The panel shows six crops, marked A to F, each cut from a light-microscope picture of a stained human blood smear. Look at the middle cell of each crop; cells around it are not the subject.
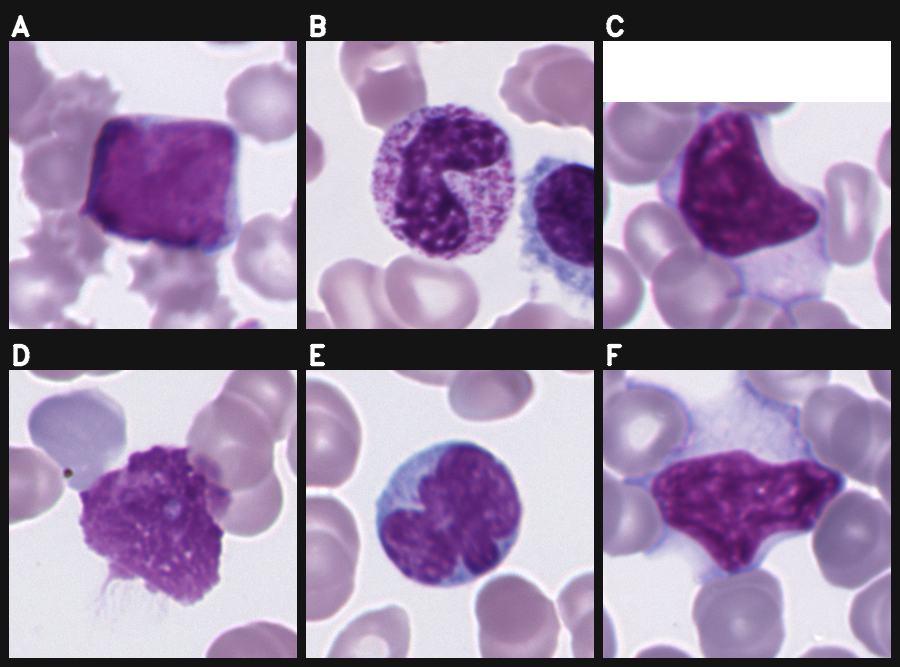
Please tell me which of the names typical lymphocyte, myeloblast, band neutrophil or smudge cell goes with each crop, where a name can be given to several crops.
A: myeloblast
B: band neutrophil
C: typical lymphocyte
D: smudge cell
E: myeloblast
F: typical lymphocyte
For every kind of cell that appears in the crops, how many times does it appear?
myeloblast: 2
typical lymphocyte: 2
band neutrophil: 1
smudge cell: 1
